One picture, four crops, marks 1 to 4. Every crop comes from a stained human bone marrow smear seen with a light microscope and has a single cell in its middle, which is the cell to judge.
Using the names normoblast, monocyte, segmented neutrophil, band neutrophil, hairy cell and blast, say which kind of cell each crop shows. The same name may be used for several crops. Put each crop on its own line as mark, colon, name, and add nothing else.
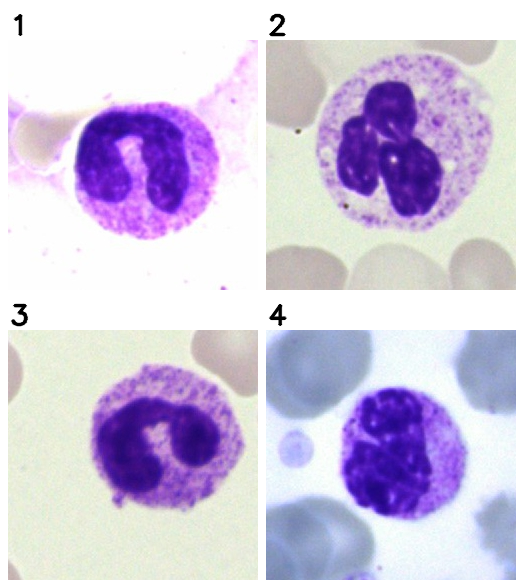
1: segmented neutrophil
2: segmented neutrophil
3: segmented neutrophil
4: band neutrophil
